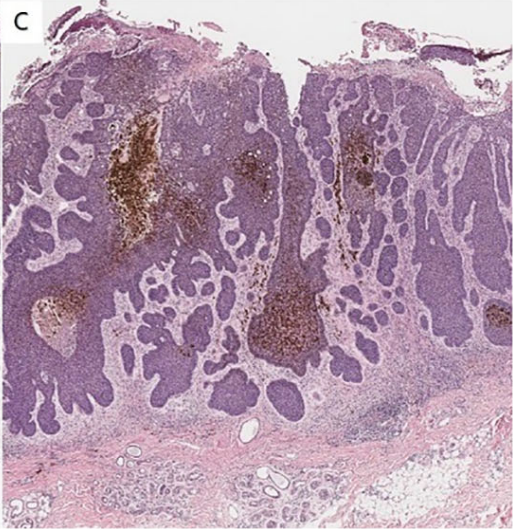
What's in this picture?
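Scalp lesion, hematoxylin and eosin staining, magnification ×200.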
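This section of skin shows basal-like tumor cells forming many dark purple nests, cords and rounded islands that extend down from the surface into the upper dermis. Several nests contain coarse brown granular pigment, some clustered in the centre of elongated cords. The nests sit in a paler pink, loose stroma, and beneath them lies pink dermal connective tissue with small glandular structures and vessels. The surface is irregular and partly lost.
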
